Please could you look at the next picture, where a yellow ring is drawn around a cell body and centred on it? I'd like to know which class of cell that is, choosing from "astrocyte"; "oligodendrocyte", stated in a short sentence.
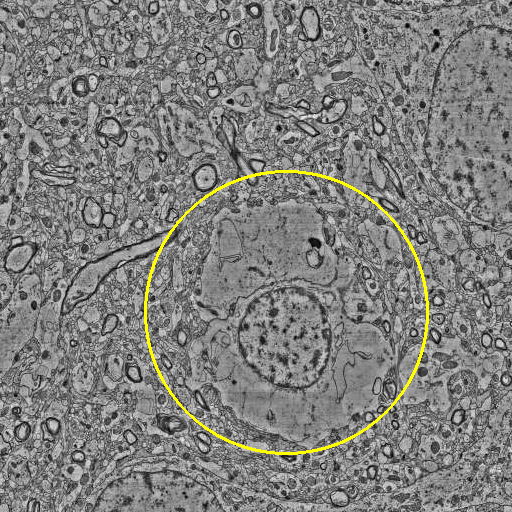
The ring's centre lies on an astrocyte.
